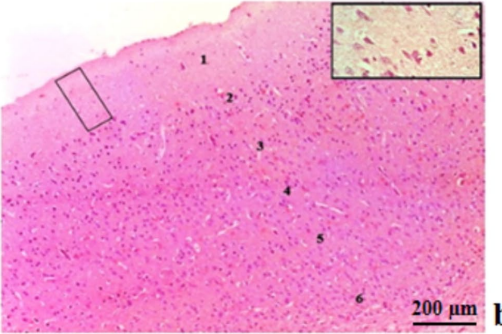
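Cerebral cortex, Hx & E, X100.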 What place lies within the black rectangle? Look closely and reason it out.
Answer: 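Molecular layer. The rectangle sits at the outermost edge of the cortex. The area inside holds only scattered nuclei in a pale pink background.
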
